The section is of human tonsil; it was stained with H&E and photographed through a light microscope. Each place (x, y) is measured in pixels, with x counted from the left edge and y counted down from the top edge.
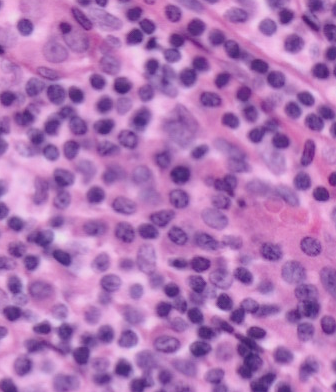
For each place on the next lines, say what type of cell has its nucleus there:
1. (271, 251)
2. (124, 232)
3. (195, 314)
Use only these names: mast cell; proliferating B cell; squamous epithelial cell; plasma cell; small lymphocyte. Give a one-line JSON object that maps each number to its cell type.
{"1": "plasma cell", "2": "plasma cell", "3": "small lymphocyte"}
